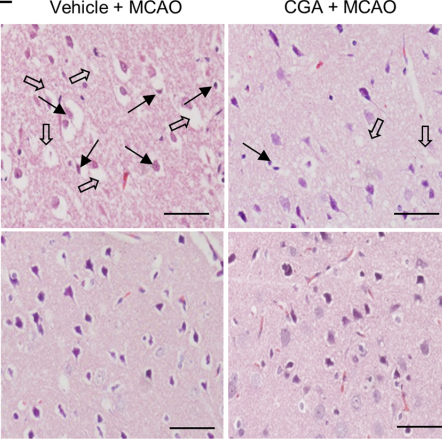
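Four views of pink-stained brain tissue with scattered purple-stained nuclei of nerve cells. In the upper left view the pink background is full of clear, empty holes, and many nuclei are small, dark and shrunken, while the upper right view shows fewer holes and fewer dark nuclei.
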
